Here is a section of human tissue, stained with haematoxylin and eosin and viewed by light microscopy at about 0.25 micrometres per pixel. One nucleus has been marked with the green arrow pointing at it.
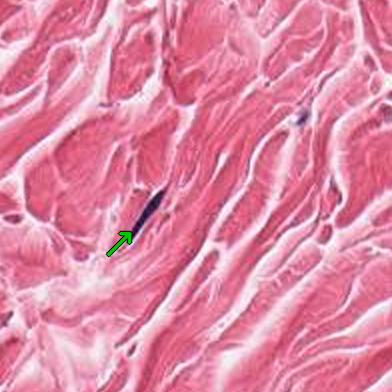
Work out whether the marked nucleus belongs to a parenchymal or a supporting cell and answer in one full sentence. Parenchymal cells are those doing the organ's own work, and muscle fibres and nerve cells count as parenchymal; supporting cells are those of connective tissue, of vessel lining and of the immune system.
A supporting cell is the cell in which the marked nucleus is found.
